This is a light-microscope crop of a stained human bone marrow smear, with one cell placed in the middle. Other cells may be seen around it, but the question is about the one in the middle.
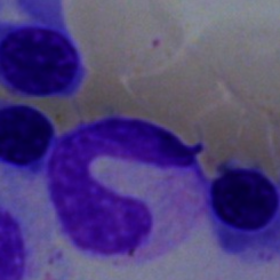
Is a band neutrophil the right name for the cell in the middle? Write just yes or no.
yes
